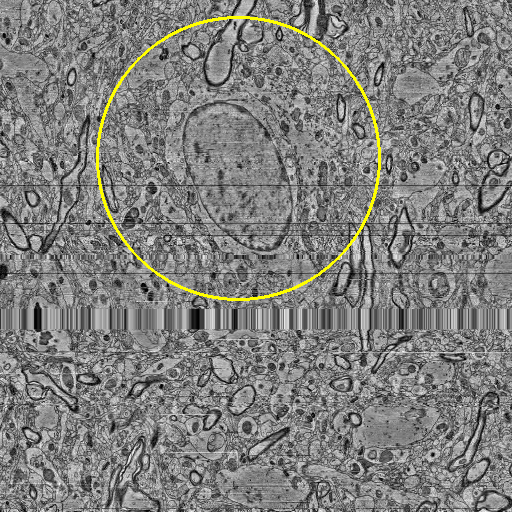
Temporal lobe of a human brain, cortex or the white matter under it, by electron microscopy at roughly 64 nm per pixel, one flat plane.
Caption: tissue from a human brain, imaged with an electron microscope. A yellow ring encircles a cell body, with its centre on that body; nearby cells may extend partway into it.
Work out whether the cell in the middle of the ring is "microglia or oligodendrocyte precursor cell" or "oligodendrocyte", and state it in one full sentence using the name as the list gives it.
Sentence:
In the picture, the cell that the yellow ring surrounds at its centre is a microglial cell or oligodendrocyte precursor cell.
